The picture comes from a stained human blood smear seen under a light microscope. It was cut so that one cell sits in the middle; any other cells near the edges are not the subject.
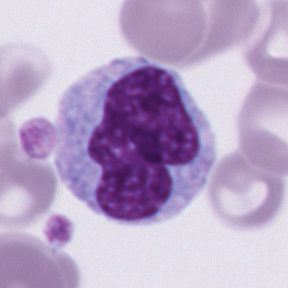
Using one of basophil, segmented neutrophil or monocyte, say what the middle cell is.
monocyte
